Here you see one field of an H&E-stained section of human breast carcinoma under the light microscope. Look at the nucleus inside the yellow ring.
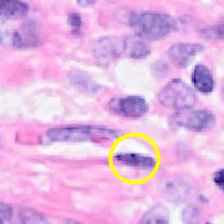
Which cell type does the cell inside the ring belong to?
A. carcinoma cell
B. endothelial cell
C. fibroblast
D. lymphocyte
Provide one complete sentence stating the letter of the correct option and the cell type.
Option B gets it right, as the cell inside the ring is an endothelial cell.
